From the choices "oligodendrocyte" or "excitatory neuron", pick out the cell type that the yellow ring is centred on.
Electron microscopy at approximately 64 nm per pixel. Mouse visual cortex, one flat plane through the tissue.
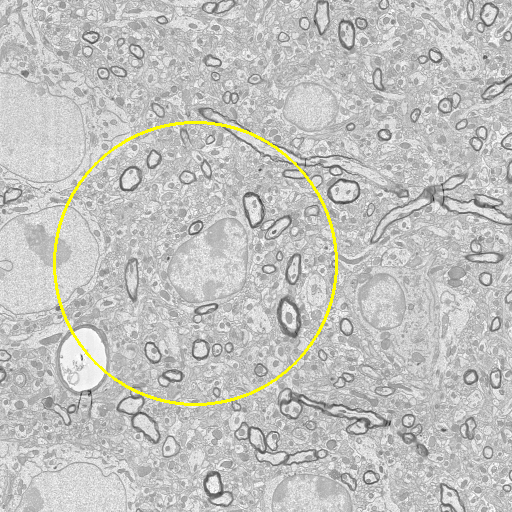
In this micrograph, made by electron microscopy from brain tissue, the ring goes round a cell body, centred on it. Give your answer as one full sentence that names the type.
The yellow ring is centred on an oligodendrocyte, whose cell body it encircles in the picture.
